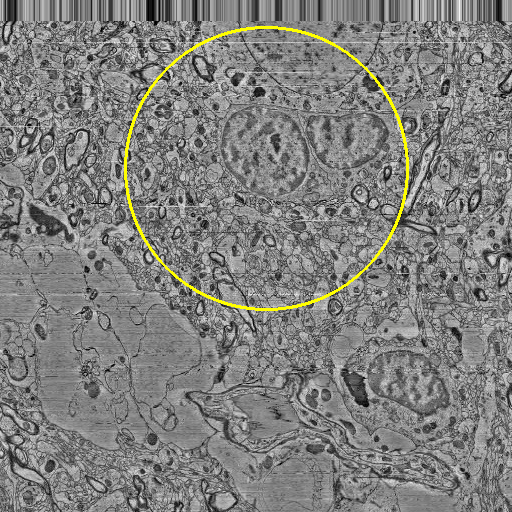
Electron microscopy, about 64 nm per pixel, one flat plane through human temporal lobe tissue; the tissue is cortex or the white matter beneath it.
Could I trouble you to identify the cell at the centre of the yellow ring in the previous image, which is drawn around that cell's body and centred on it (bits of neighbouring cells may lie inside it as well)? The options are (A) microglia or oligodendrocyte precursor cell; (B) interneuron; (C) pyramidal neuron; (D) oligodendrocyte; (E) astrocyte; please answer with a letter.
D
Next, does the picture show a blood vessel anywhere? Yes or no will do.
Yes, there is a blood vessel.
